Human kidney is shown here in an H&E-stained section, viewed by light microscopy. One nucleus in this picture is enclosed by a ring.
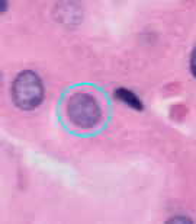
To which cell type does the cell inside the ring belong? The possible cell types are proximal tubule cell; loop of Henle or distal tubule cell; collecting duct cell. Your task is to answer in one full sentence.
In this field of tissue, the cell inside the ring is a proximal tubule cell.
